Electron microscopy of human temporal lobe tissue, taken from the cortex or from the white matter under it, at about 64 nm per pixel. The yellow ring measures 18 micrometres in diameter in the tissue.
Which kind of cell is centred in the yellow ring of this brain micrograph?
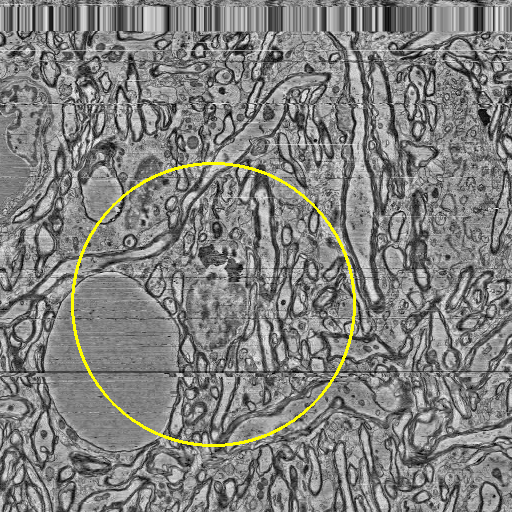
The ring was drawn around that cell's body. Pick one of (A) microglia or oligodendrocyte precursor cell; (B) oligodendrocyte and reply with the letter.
B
